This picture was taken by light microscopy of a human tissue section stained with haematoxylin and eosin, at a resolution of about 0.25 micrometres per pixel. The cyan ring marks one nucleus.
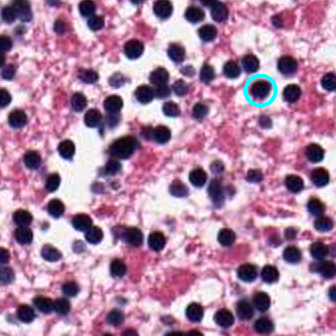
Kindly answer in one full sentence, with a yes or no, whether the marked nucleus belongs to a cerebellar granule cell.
Yes, the cell containing the marked nucleus is a cerebellar granule cell.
